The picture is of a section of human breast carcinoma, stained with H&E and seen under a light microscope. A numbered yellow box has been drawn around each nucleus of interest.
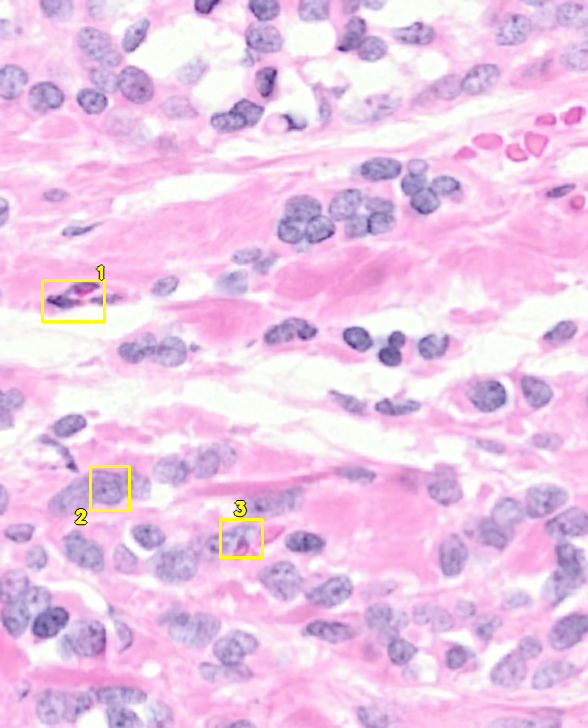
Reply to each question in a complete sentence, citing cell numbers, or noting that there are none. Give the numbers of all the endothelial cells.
The cells identified by the numbers 1 and 3 are endothelial cells.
